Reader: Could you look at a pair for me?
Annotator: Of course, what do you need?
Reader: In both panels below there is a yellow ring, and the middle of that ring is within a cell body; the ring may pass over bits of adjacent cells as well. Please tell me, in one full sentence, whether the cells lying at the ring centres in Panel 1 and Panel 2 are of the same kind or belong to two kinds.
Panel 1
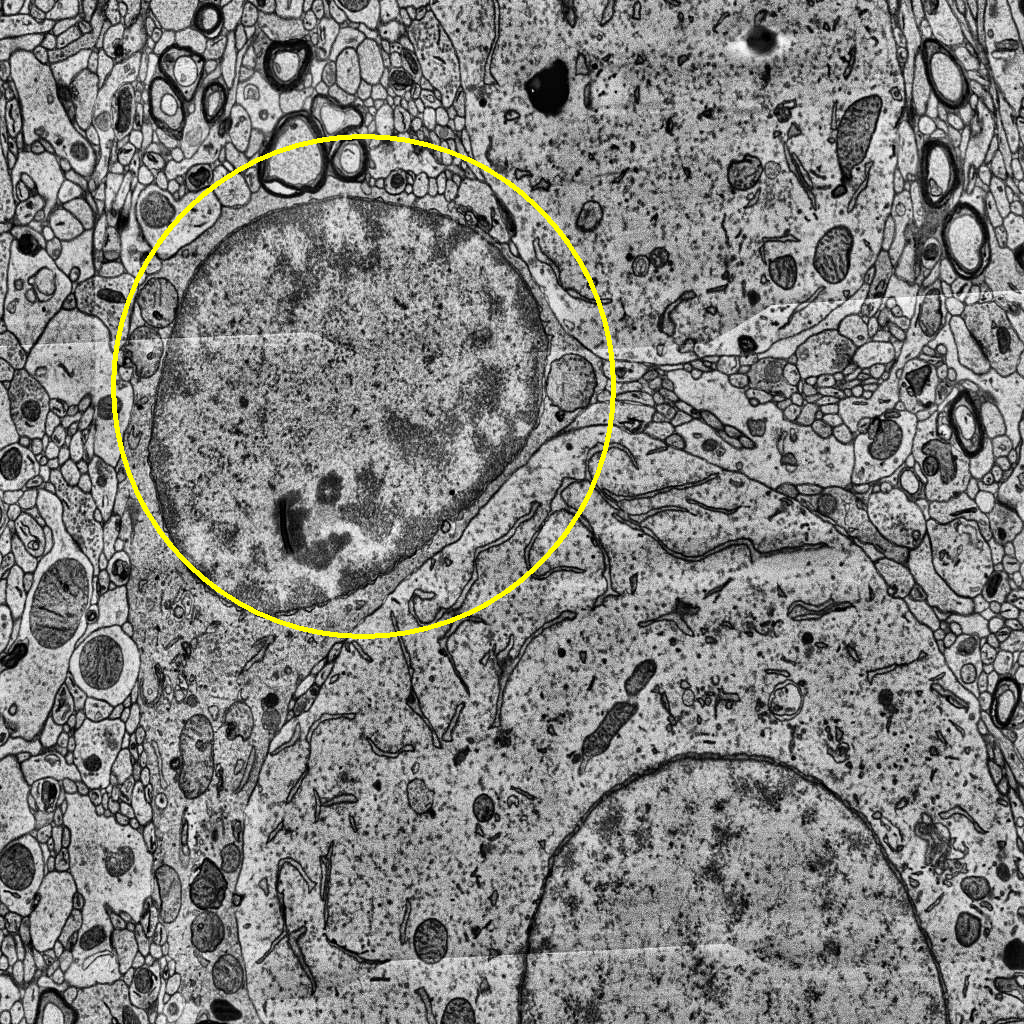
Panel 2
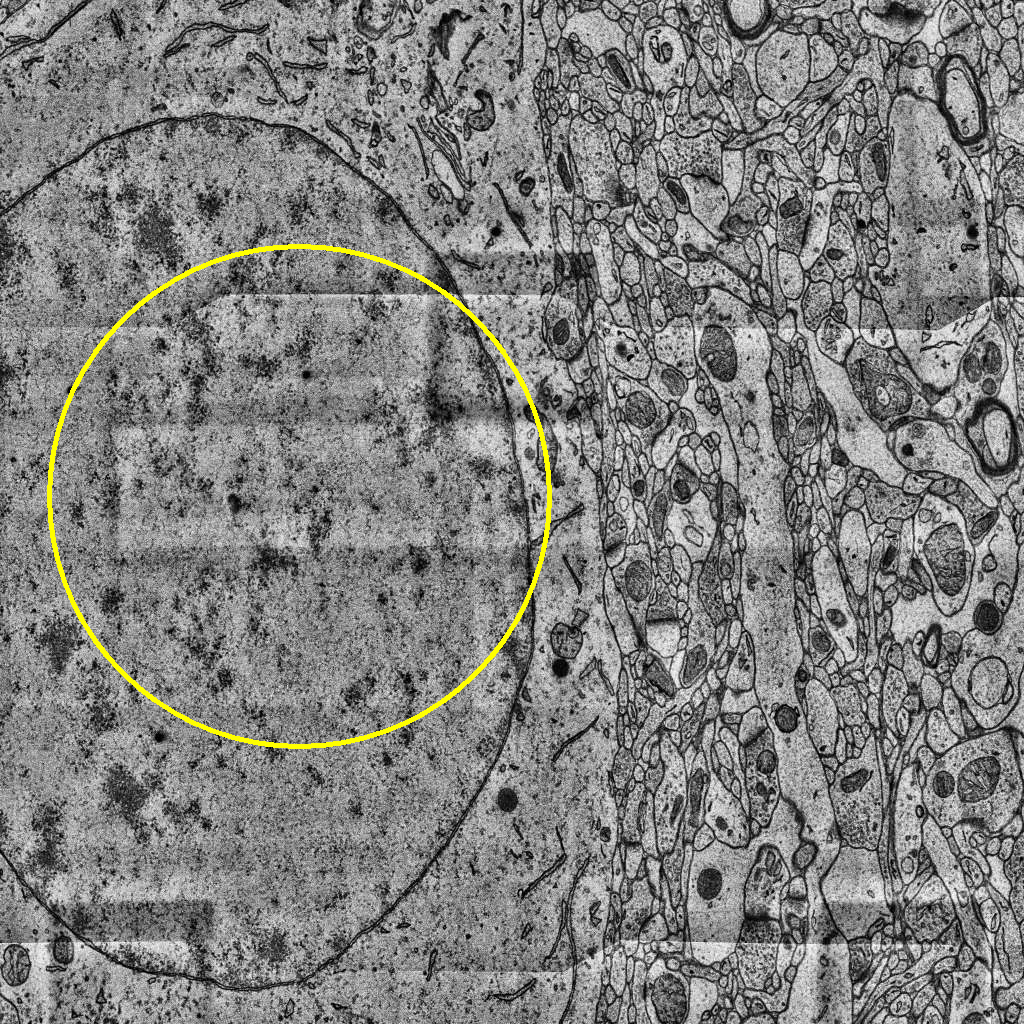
The cell at the ring's centre in Panel 1 and the one in Panel 2 belong to two kinds.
